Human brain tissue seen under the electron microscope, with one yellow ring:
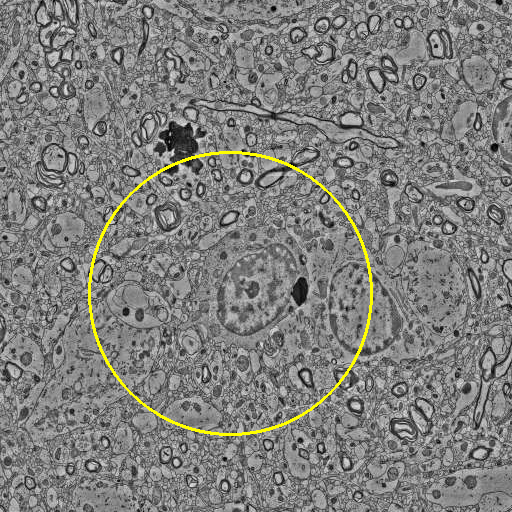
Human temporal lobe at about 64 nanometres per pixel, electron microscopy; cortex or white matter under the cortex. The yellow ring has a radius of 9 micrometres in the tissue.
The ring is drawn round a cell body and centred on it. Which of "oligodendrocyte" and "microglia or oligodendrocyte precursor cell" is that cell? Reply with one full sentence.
The picture shows an oligodendrocyte at the very centre of the yellow ring.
